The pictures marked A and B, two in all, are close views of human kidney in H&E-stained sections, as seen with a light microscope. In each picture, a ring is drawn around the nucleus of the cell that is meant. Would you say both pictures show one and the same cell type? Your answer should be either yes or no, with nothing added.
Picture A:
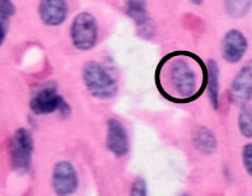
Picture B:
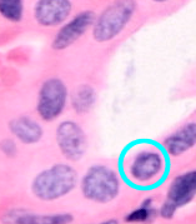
no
